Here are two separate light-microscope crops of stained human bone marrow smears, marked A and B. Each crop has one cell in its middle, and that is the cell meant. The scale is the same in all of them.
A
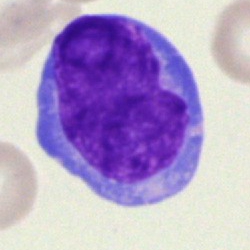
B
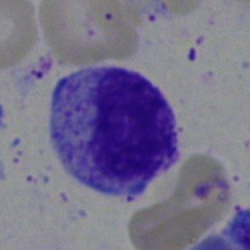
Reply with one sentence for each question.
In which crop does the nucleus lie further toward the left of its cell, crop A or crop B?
In crop A the nucleus is shifted more toward the left.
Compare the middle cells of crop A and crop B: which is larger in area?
The cell in crop A is larger, with about 2 times the area of the one in crop B.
